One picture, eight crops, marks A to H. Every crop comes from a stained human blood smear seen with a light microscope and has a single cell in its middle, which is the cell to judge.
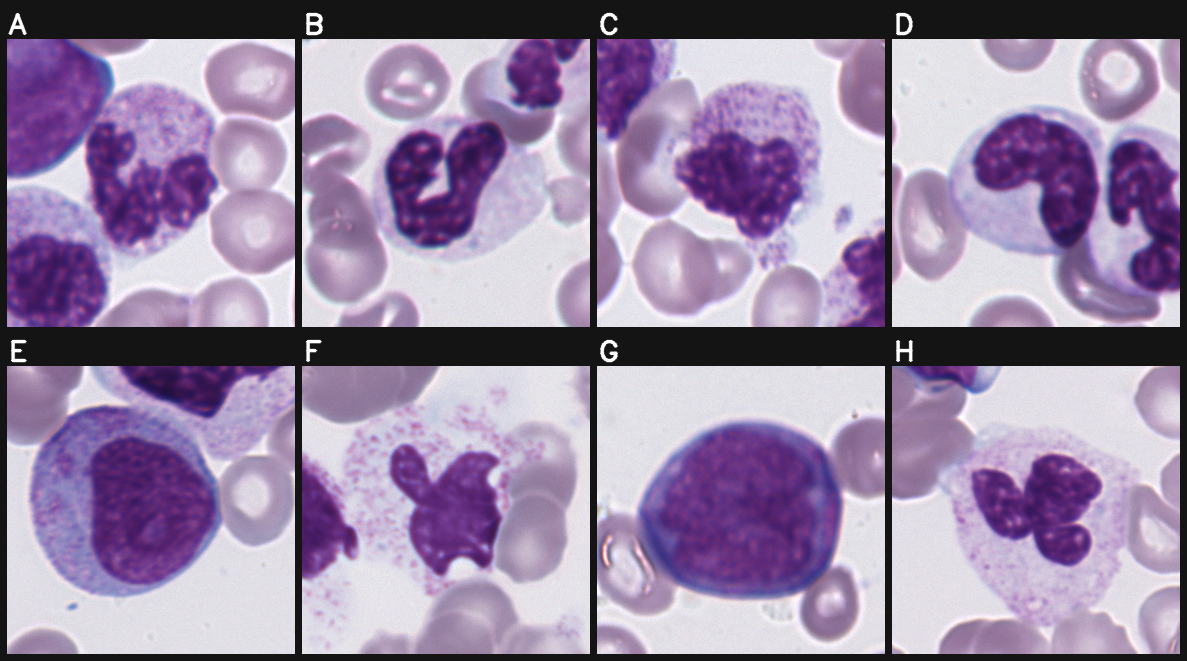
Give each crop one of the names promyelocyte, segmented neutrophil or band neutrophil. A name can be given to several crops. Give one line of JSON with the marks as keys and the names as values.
{"A": "segmented neutrophil", "B": "band neutrophil", "C": "segmented neutrophil", "D": "band neutrophil", "E": "promyelocyte", "F": "segmented neutrophil", "G": "promyelocyte", "H": "segmented neutrophil"}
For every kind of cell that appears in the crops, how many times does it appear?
segmented neutrophil: 4
band neutrophil: 2
promyelocyte: 2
